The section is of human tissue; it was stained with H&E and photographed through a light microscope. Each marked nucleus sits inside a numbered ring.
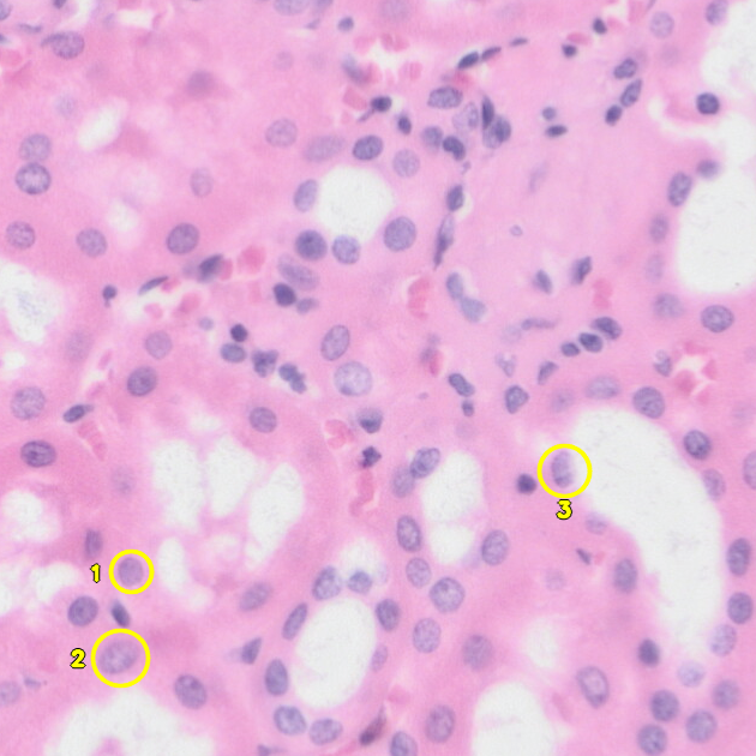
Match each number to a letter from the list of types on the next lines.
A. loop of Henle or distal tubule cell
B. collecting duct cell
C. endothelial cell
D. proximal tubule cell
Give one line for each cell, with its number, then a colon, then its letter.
1: D
2: D
3: A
